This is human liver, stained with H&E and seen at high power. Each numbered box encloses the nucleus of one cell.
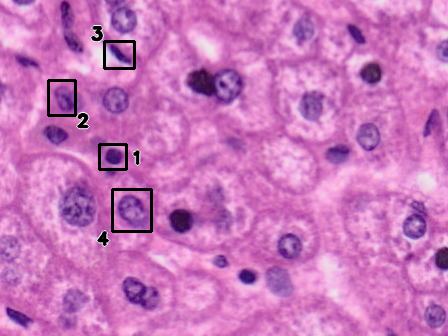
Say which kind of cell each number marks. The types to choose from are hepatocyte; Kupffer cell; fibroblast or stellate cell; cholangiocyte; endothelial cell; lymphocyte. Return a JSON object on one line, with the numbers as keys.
{"1": "lymphocyte", "2": "Kupffer cell", "3": "endothelial cell", "4": "hepatocyte"}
